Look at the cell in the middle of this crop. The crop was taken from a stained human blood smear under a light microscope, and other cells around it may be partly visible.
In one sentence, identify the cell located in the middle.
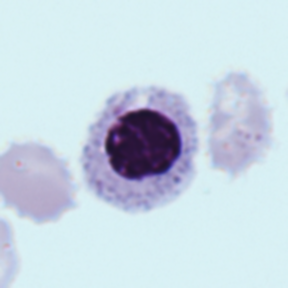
On this slide crop, the central cell is a normoblast.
